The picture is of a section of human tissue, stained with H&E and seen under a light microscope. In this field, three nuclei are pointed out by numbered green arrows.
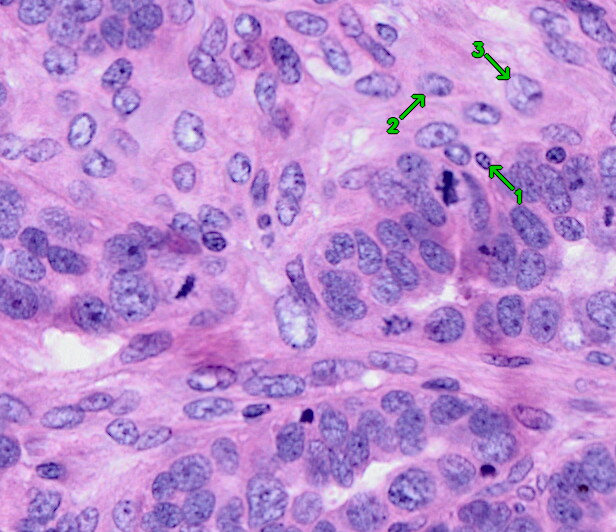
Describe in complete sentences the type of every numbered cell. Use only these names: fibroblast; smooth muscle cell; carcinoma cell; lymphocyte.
Cell 1 is a lymphocyte. Cells 2 and 3 are fibroblasts.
